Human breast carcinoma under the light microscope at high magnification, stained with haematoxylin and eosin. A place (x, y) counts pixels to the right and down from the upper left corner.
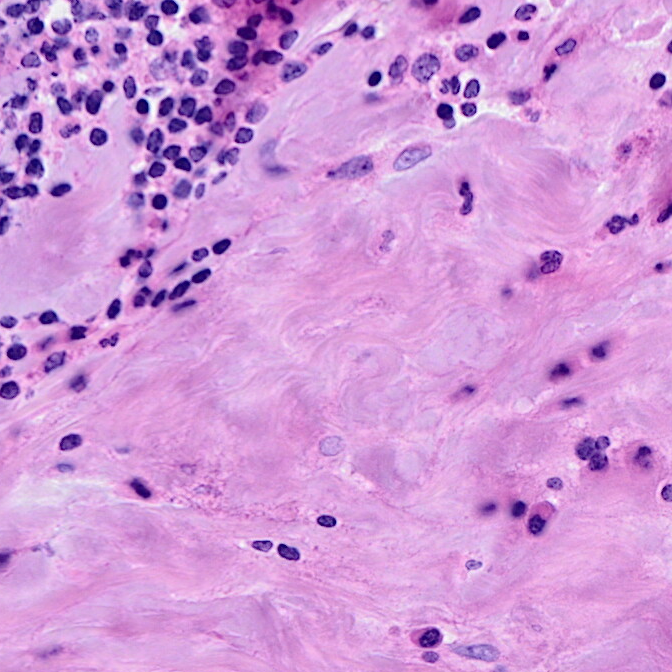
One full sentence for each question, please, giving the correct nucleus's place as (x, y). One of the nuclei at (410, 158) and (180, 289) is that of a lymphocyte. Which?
The nucleus positioned at (180, 289) is the one that belongs to a lymphocyte.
